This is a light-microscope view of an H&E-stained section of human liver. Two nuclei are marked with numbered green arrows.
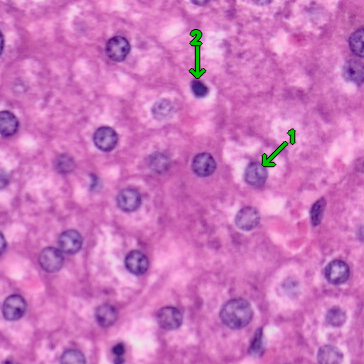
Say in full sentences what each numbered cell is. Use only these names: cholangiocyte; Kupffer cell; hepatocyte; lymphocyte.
Cell 1 is a hepatocyte. Cell 2 is a lymphocyte.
